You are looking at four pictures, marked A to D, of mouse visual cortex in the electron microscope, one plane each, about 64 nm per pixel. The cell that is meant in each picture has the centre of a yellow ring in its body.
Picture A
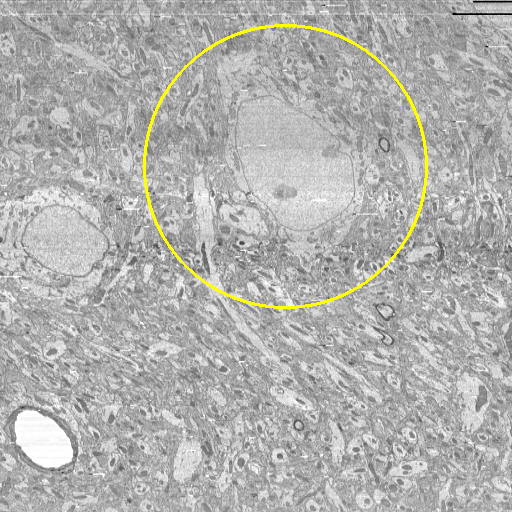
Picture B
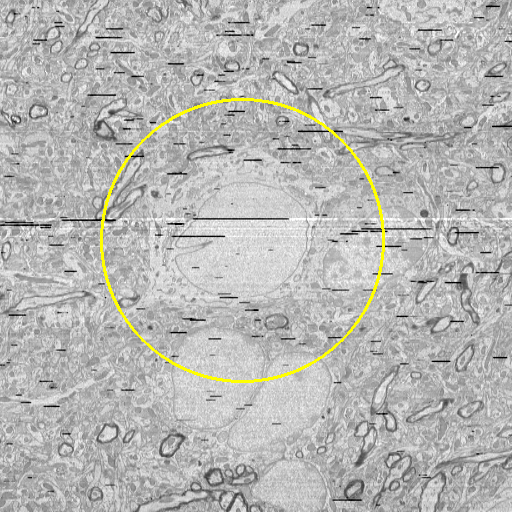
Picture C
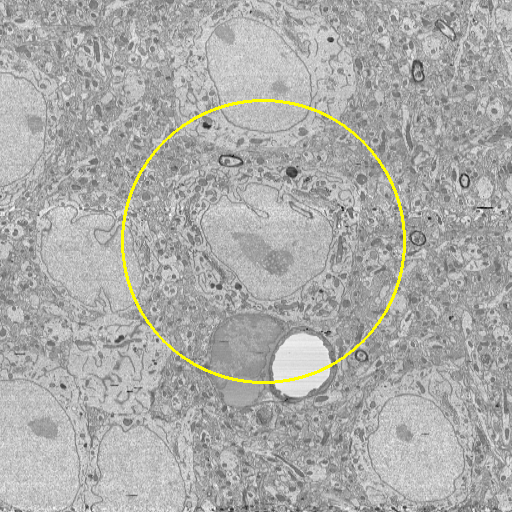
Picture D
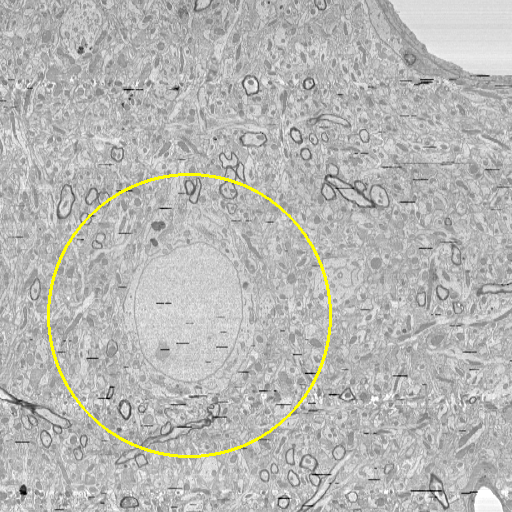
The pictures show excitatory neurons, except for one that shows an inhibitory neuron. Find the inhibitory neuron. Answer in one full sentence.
The inhibitory neuron is the one in picture C.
